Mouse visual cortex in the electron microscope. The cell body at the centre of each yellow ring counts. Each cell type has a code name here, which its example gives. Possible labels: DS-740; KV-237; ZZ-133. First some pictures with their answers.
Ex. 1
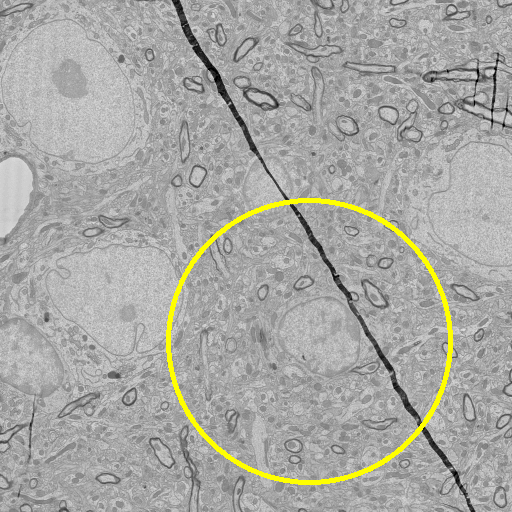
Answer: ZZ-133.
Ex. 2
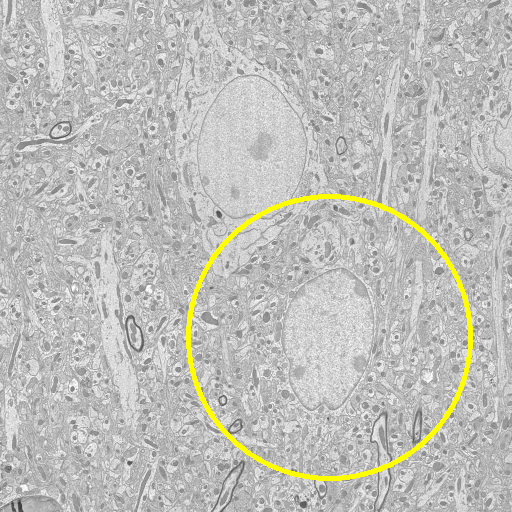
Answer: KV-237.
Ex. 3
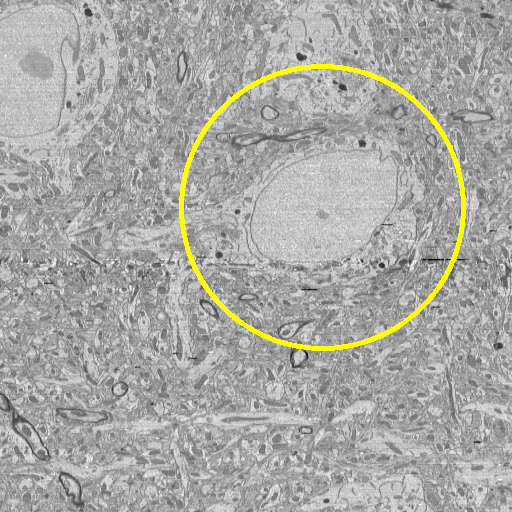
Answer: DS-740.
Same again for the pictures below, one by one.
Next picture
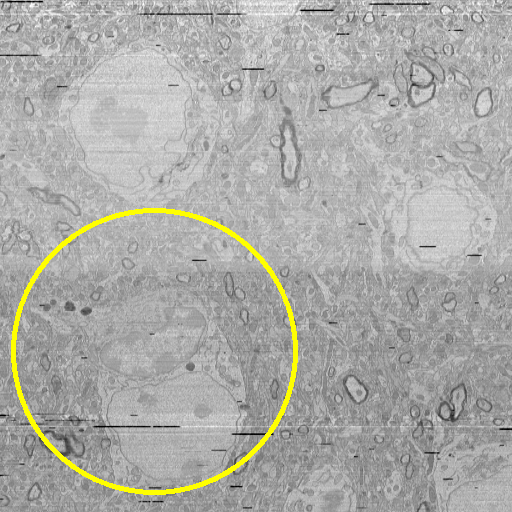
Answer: ZZ-133.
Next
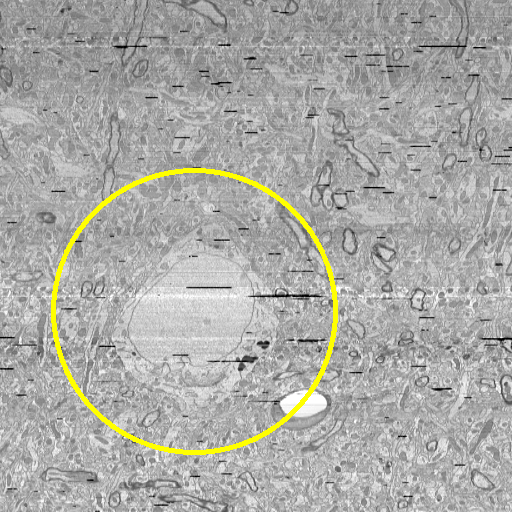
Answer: DS-740.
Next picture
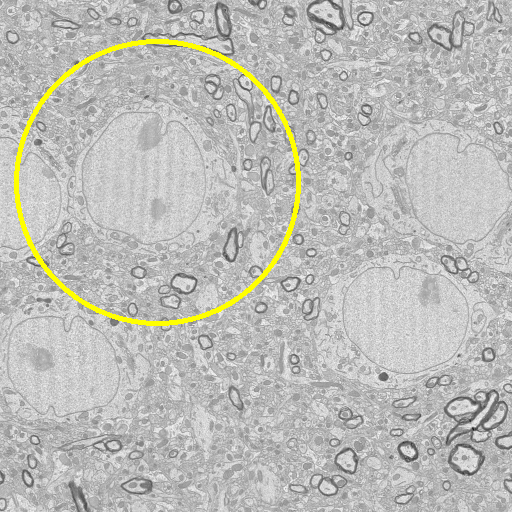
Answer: DS-740.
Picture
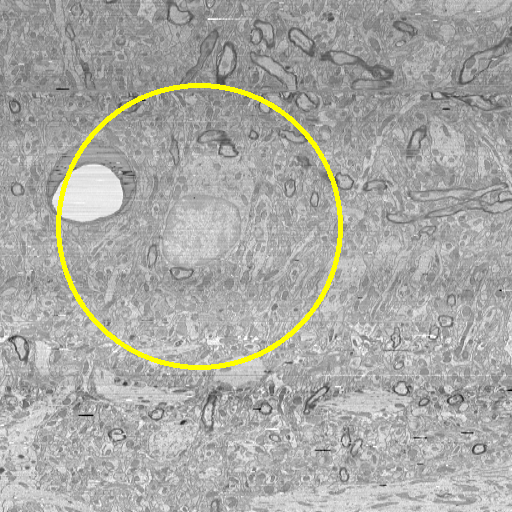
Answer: ZZ-133.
